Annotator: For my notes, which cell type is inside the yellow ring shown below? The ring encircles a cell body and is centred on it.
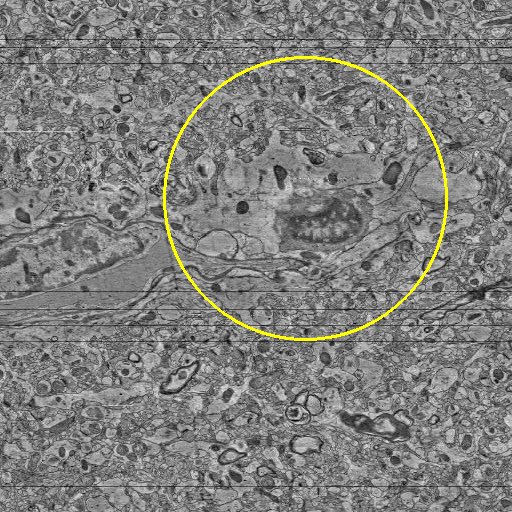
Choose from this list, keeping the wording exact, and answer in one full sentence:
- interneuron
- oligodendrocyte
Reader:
At the centre of the yellow ring there is an oligodendrocyte, as shown in the picture.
